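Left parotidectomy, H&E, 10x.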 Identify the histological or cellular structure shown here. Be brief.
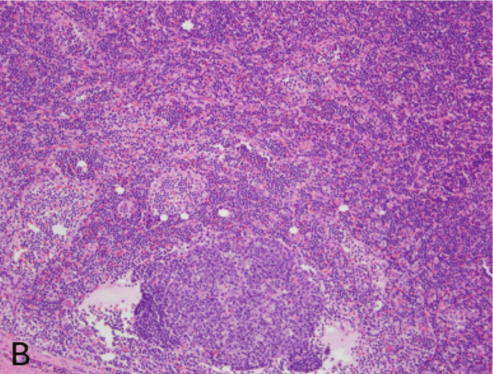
Secondary follicles.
